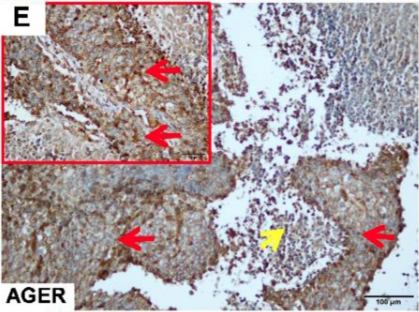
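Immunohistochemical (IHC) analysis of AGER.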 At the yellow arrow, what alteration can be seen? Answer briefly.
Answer: Necrosis cells.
